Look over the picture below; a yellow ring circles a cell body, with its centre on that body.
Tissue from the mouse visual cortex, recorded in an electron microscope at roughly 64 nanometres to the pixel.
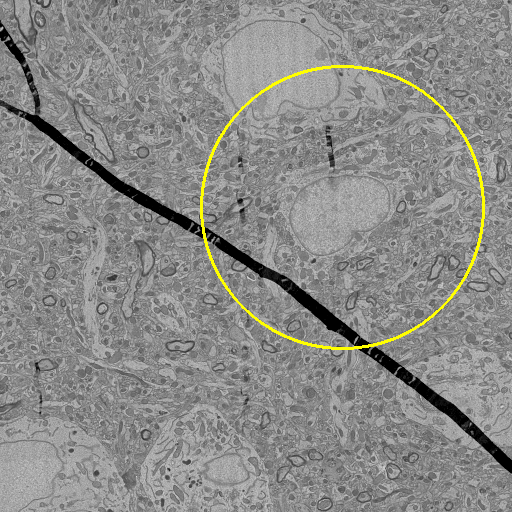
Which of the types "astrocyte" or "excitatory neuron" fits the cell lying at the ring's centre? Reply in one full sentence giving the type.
The picture shows an astrocyte at the centre of the yellow ring.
